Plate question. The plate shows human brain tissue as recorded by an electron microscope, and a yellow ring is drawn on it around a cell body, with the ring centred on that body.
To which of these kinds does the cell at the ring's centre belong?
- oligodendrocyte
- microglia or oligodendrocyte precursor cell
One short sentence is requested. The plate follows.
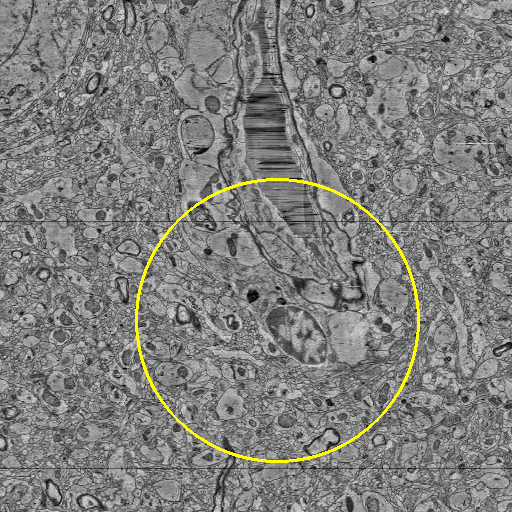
The cell at the ring's centre is a microglial cell or oligodendrocyte precursor cell.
